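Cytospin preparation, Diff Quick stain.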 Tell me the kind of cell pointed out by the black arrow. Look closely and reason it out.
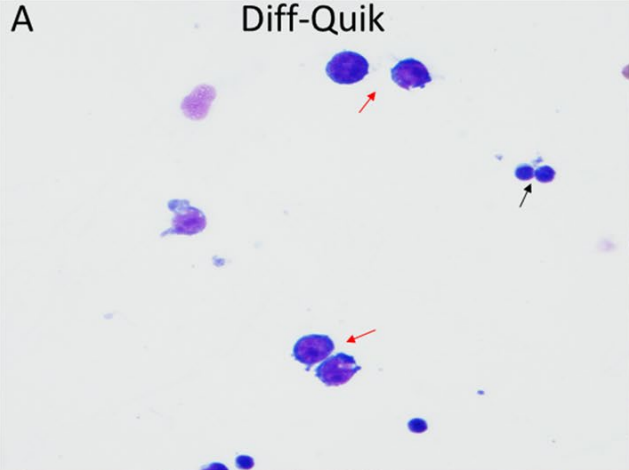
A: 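The marked cells are small, with round, dense, dark purple nuclei. They have very scant cytoplasm. So: small benign lymphocytes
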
